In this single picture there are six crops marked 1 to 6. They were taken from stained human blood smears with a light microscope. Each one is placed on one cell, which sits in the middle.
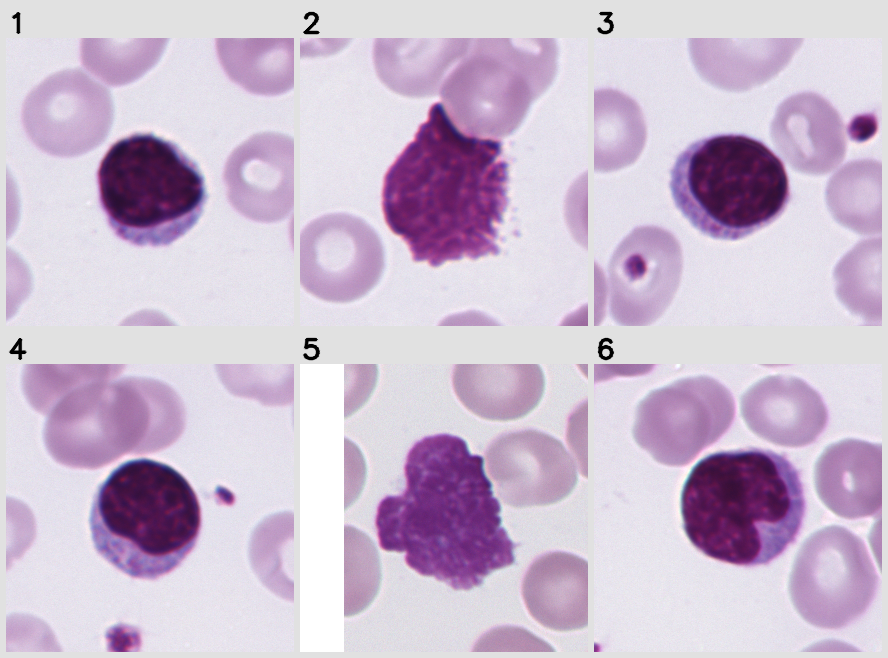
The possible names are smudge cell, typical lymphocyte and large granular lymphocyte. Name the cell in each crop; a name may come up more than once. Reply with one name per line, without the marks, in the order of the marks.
large granular lymphocyte
smudge cell
large granular lymphocyte
large granular lymphocyte
smudge cell
typical lymphocyte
